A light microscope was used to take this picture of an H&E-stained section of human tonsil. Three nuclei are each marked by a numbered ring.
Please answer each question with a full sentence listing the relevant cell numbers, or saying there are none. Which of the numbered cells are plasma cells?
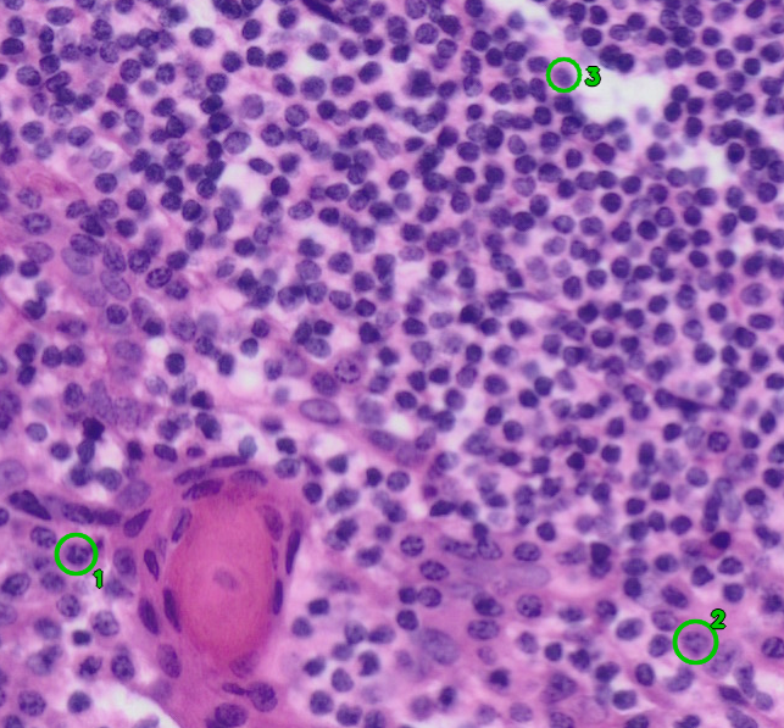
As for the cells numbered 1 and 2, they are plasma cells.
